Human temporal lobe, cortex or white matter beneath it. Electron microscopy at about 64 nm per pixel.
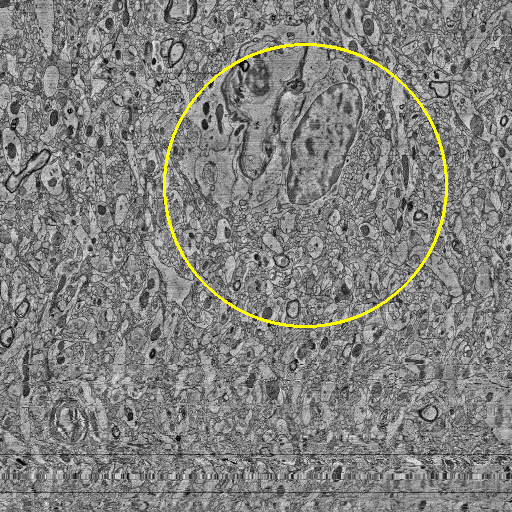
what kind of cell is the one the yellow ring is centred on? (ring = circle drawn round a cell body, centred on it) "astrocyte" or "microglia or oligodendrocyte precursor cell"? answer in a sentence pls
The ring is drawn around a microglial cell or oligodendrocyte precursor cell.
